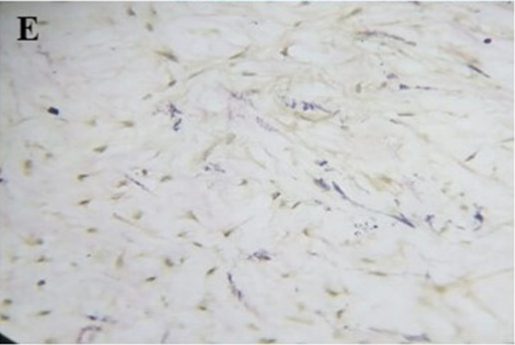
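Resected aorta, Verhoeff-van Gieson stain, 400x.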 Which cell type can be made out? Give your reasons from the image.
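Numerous spindle-shaped cells with elongated nuclei. Cells lie in random orientation in a pale matrix. The answer: fibroblasts.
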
